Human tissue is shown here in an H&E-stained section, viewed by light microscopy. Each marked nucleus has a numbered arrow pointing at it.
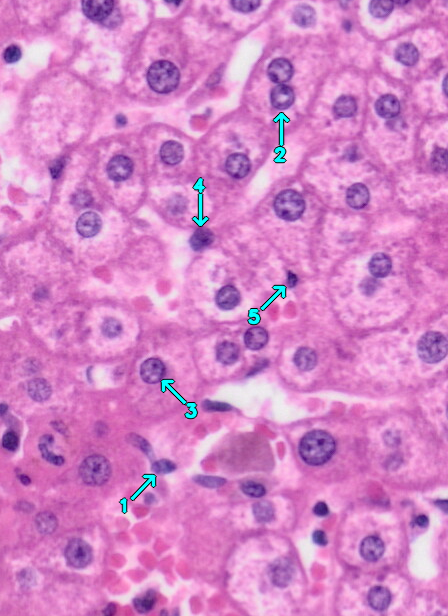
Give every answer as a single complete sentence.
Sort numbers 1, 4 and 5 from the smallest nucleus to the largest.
The order from the smallest nucleus to the largest is 5, 1, 4.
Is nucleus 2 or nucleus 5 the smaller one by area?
With nucleus 2 about 3 times its size, nucleus 5 is the smaller of the two.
